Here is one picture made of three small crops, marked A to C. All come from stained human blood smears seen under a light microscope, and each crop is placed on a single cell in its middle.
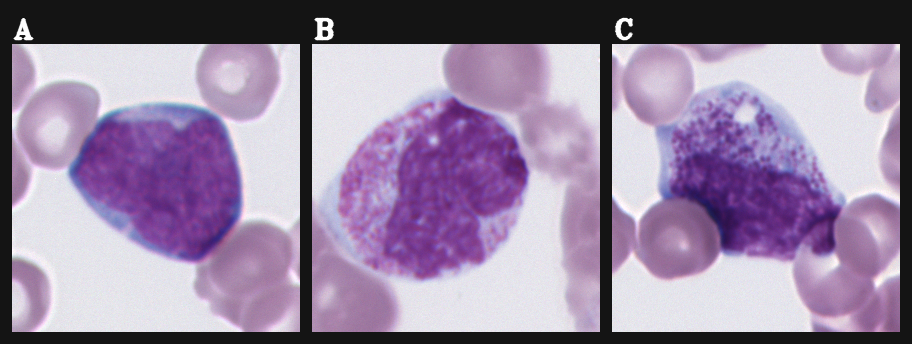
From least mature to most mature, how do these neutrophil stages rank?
A, C, B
